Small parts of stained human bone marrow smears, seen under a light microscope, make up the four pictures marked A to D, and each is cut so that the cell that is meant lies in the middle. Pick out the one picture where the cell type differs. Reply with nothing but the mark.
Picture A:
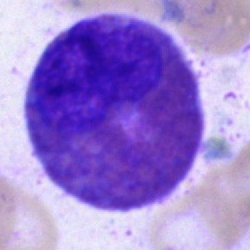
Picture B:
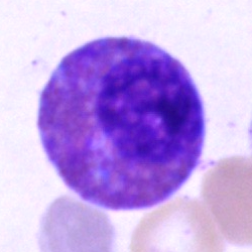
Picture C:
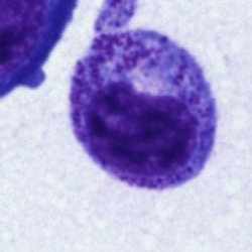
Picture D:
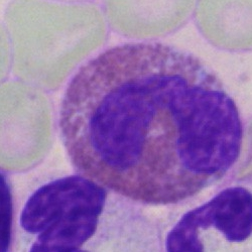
C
